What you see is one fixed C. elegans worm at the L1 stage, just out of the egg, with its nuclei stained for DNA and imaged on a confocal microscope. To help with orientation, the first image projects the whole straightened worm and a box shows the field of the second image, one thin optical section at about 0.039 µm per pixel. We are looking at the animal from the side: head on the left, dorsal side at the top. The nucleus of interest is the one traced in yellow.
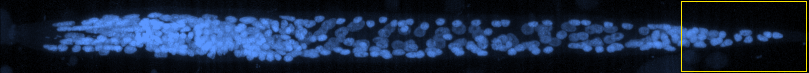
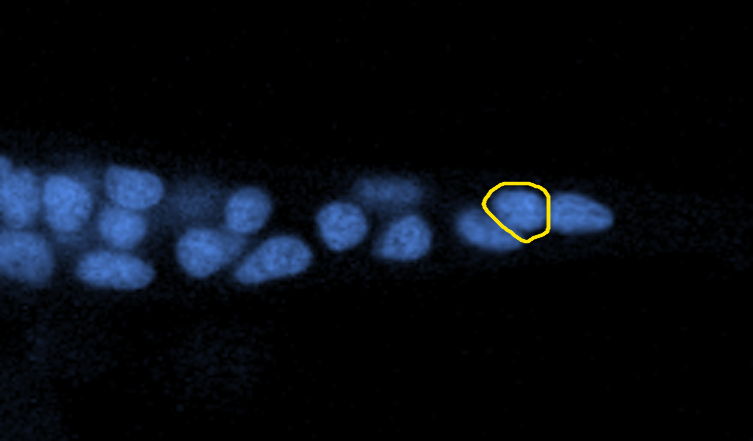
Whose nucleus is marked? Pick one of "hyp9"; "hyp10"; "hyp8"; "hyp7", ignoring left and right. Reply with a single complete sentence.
The marked nucleus belongs to hyp10, a hypodermal cell (hyp).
